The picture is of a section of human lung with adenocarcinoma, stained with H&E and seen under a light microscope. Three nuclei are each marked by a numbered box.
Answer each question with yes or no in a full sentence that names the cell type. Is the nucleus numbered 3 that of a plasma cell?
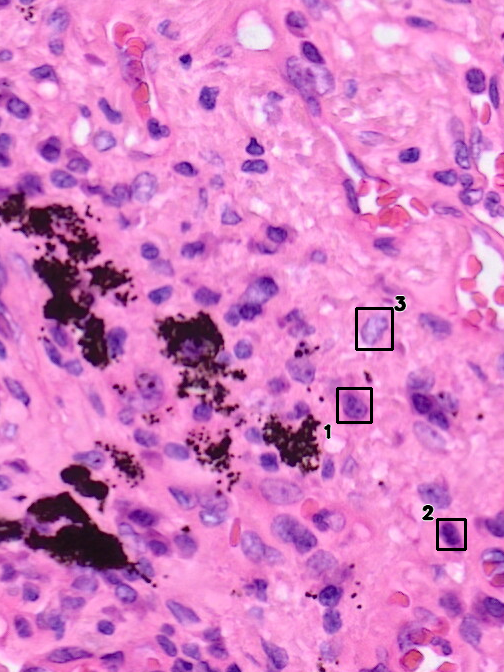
No, number 3 belongs to a fibroblast, not to a plasma cell.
